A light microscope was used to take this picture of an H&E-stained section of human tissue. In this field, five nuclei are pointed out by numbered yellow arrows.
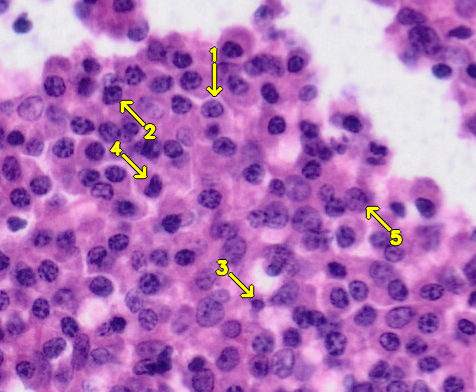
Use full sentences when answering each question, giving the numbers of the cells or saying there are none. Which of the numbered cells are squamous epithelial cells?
So, the cells with numbers 3 and 5 are squamous epithelial cells.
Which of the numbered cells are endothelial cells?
Answering directly: no endothelial cells are among the numbered cells.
